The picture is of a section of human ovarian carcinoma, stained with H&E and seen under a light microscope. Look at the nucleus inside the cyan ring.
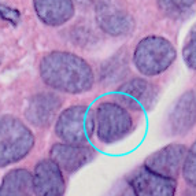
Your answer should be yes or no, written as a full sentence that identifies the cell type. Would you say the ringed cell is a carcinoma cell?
Yes, when classified by type, the ringed cell is a carcinoma cell.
